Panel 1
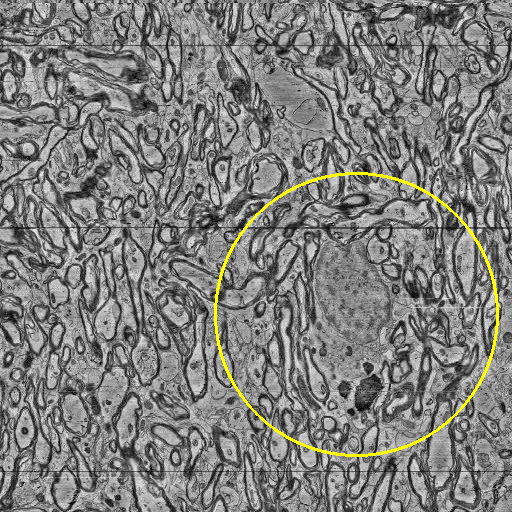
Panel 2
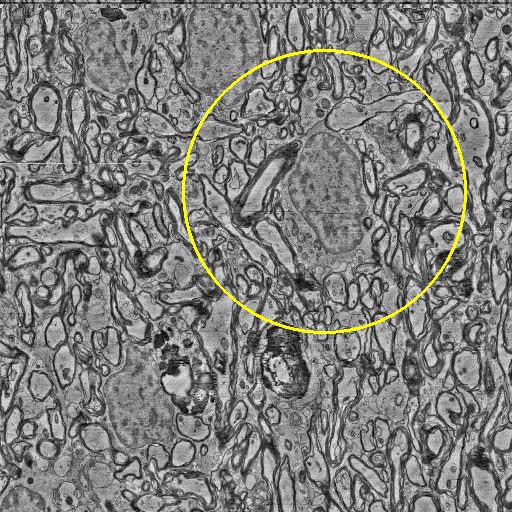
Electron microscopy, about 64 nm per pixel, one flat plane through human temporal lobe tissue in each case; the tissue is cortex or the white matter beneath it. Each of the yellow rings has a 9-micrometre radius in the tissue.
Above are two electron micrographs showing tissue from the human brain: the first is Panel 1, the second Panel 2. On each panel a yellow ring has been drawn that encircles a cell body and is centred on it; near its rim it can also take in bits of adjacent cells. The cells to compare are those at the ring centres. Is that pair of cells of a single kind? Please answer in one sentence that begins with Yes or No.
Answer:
Yes, the ring-centred cells of Panel 1 and Panel 2 belong to one kind.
